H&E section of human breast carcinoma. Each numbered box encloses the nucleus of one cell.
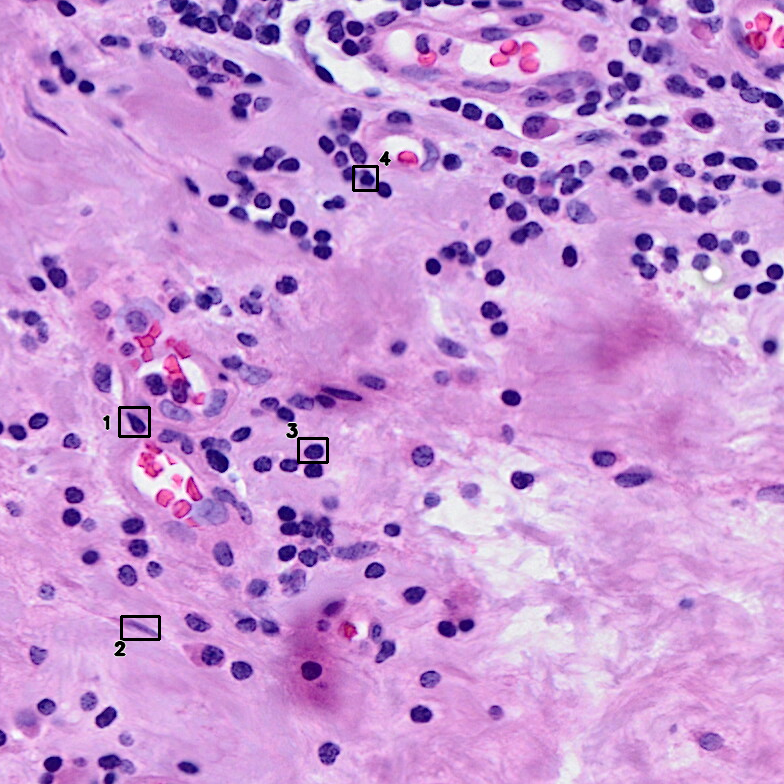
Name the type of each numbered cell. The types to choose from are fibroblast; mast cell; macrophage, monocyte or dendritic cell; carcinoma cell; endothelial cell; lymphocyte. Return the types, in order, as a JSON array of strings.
["lymphocyte", "fibroblast", "lymphocyte", "lymphocyte"]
